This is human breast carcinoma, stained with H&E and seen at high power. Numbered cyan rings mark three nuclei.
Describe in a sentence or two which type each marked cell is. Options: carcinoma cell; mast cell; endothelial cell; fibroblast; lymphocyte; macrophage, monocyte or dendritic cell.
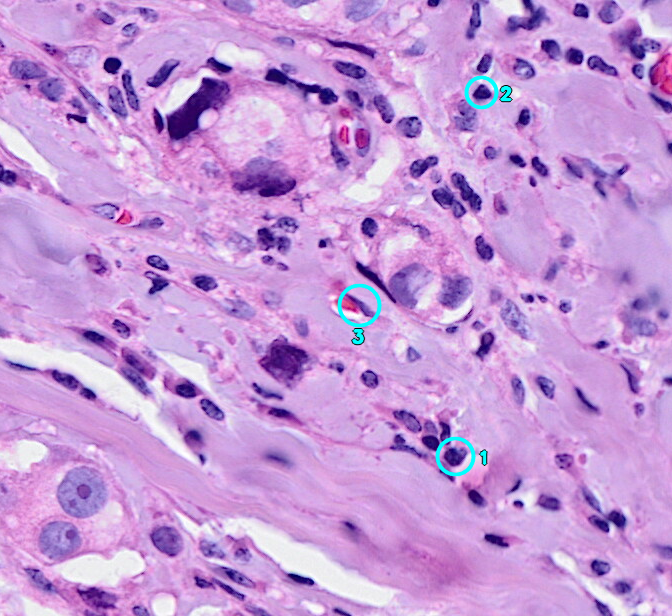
Cell 1 is a lymphocyte, cell 2 is a lymphocyte and cell 3 is an endothelial cell.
